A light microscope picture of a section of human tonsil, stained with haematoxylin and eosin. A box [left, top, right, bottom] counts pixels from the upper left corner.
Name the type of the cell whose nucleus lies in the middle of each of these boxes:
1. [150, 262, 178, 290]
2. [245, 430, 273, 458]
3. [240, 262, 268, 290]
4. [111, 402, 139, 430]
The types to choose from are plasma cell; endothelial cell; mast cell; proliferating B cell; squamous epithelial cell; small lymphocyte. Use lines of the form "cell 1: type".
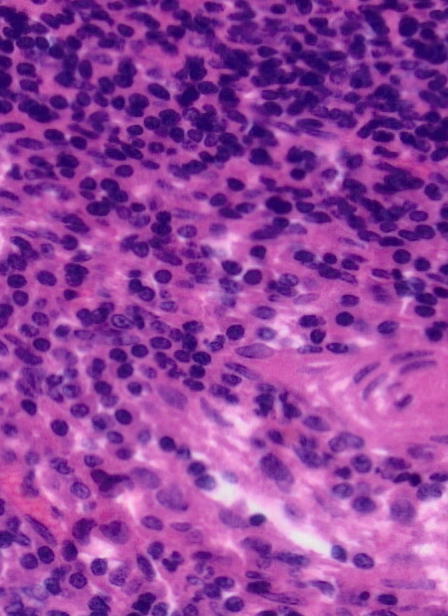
cell 1: plasma cell
cell 2: squamous epithelial cell
cell 3: plasma cell
cell 4: plasma cell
